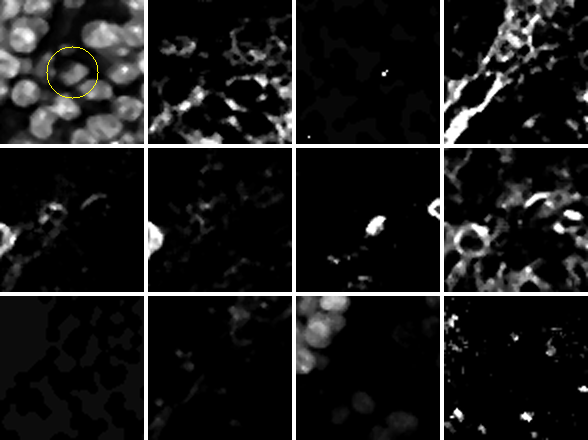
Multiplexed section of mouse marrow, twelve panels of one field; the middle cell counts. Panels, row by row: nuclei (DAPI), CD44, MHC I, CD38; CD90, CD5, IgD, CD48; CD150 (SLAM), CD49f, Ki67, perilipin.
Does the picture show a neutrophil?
No, it shows a capillary endothelial cell.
